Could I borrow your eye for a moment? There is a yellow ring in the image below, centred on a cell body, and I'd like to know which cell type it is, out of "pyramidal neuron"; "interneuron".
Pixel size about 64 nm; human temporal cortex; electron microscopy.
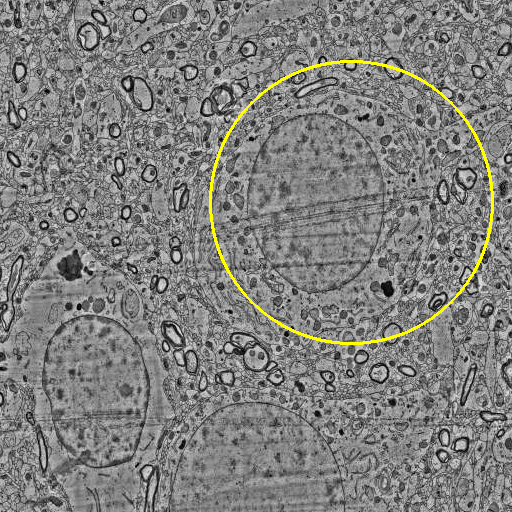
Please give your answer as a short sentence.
The cell body at the centre is that of an interneuron.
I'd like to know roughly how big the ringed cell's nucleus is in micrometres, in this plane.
Roughly 11 by 9 micrometres is the size of the nucleus in this plane.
